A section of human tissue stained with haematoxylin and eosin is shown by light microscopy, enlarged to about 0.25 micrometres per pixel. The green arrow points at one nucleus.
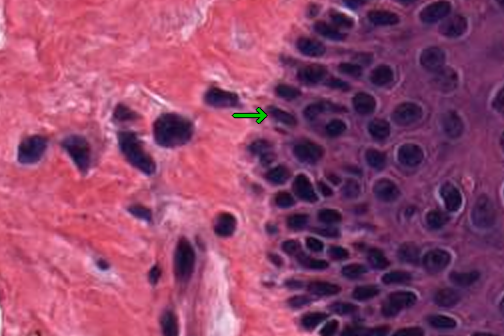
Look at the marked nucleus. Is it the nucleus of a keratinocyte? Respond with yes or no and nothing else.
yes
